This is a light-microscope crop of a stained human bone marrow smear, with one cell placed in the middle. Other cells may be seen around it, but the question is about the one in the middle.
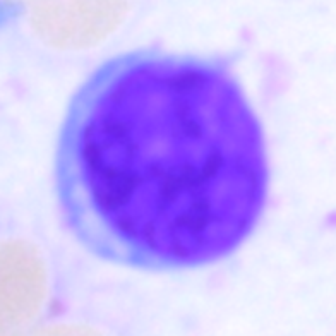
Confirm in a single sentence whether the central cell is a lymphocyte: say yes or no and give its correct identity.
Yes, the middle cell is properly termed a lymphocyte.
